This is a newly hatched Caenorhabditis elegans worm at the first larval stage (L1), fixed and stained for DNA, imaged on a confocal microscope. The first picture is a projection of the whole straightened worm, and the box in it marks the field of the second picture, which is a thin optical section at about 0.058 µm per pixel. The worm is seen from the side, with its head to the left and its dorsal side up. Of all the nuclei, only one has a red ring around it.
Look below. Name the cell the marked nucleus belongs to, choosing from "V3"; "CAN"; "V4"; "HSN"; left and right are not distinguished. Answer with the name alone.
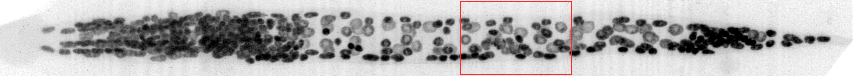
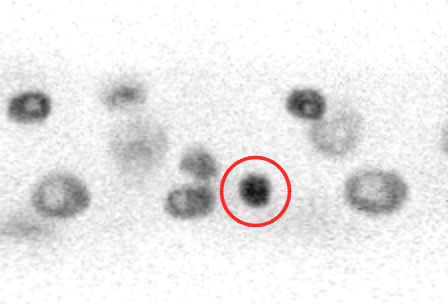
HSN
